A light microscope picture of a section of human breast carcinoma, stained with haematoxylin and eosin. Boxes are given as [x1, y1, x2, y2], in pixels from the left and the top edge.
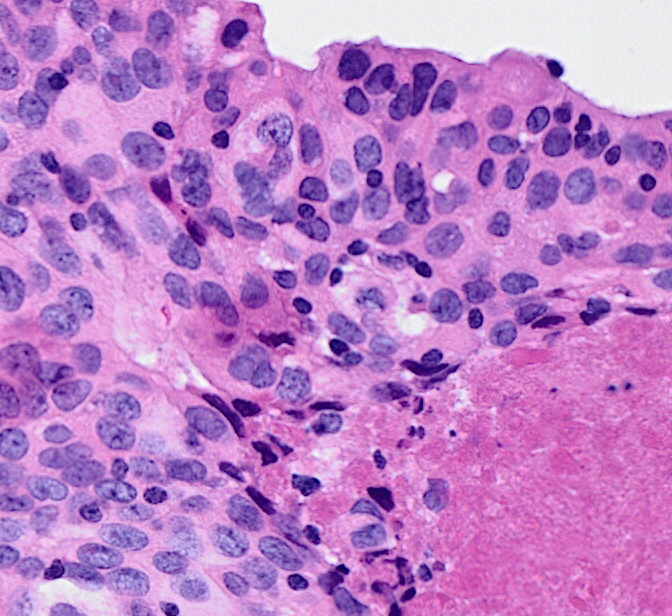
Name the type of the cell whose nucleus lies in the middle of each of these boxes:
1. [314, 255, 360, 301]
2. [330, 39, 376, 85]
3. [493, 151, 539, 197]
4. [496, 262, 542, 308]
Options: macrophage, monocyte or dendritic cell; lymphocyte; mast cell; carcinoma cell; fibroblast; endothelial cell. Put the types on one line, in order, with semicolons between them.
lymphocyte; carcinoma cell; carcinoma cell; carcinoma cell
